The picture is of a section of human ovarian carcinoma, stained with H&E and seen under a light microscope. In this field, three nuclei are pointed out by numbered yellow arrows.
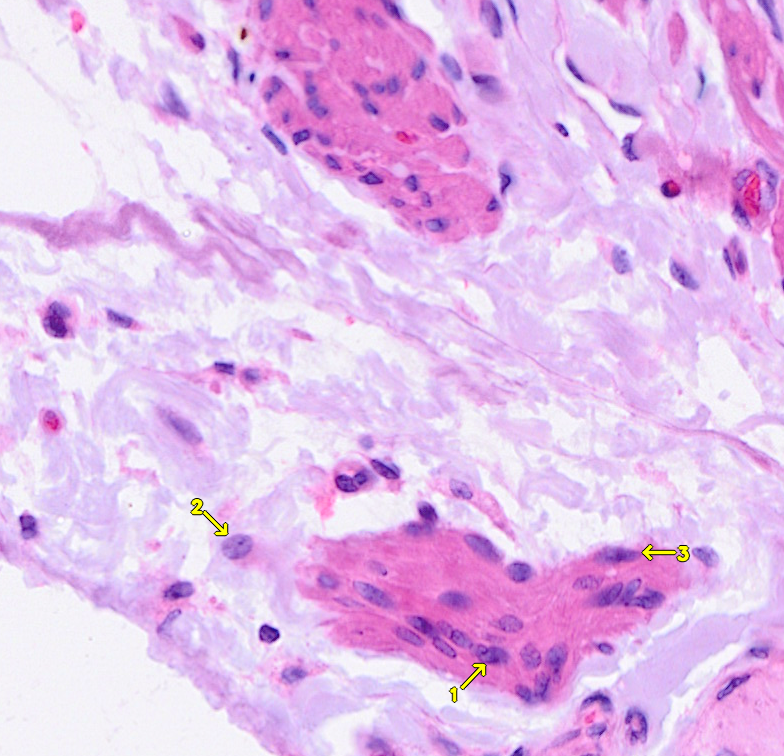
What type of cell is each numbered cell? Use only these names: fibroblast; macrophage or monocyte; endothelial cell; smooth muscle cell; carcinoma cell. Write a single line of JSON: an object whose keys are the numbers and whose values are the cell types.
{"1": "smooth muscle cell", "2": "fibroblast", "3": "smooth muscle cell"}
